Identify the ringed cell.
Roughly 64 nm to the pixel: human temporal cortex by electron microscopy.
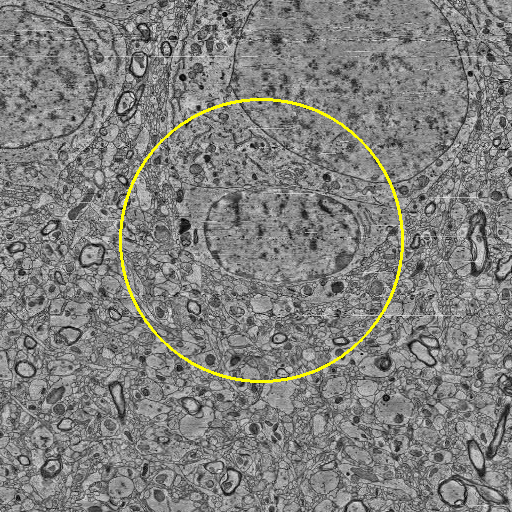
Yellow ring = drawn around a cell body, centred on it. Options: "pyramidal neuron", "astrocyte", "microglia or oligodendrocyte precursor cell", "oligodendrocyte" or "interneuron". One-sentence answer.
What the ring is centred on is a microglial cell or oligodendrocyte precursor cell.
